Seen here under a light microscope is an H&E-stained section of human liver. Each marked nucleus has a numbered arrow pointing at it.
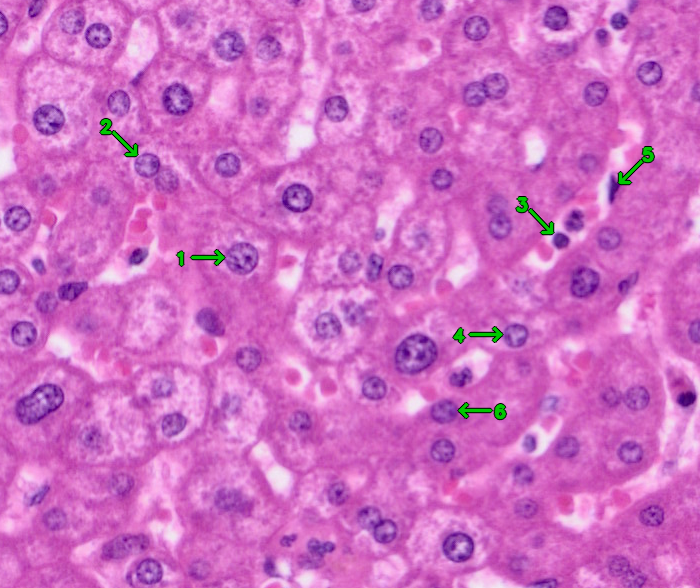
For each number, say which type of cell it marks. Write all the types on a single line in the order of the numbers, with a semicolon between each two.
hepatocyte; hepatocyte; lymphocyte; hepatocyte; endothelial cell; hepatocyte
